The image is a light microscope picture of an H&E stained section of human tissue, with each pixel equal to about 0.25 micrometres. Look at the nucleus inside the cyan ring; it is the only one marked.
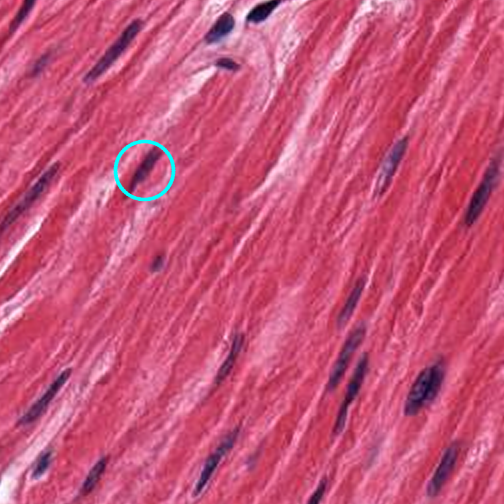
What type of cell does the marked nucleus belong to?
smooth muscle cell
